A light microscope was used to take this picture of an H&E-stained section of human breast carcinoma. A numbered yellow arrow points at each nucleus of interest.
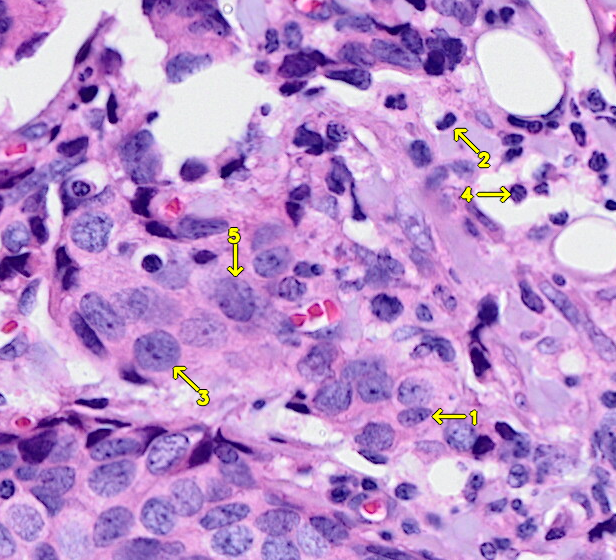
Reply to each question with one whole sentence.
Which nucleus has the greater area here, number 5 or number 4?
Nucleus 5 covers more area, about 4 times as much as nucleus 4.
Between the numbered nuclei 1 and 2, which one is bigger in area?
Nucleus 1 is the larger one, covering about 2 times the area of nucleus 2.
